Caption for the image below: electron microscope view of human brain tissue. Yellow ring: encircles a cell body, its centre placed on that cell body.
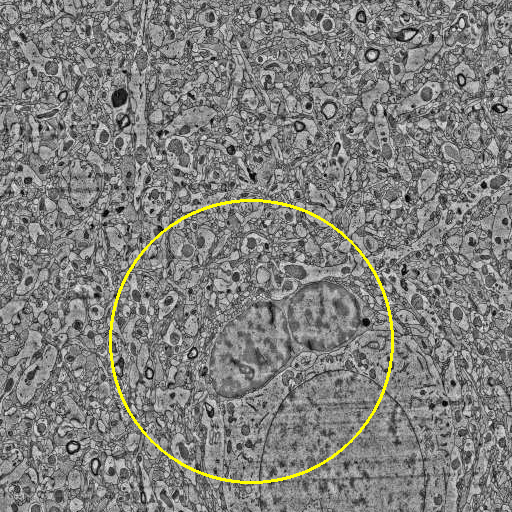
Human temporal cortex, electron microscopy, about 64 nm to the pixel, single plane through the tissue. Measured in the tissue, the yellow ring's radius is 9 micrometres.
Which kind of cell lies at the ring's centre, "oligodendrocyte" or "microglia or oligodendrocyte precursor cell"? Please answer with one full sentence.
The picture shows an oligodendrocyte at the centre of the yellow ring.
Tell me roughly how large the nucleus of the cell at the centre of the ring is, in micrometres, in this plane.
The nucleus comes to roughly 7 by 5 micrometres in this plane.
